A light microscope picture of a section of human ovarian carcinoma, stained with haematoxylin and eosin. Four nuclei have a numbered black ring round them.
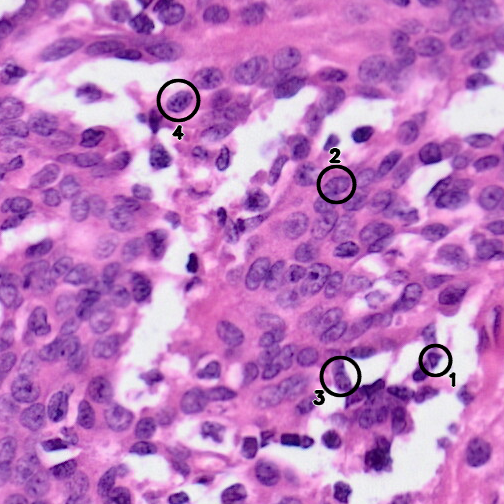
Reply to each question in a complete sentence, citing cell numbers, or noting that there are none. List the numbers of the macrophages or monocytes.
It is only cell 4 that is a macrophage or monocyte among the numbered cells.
